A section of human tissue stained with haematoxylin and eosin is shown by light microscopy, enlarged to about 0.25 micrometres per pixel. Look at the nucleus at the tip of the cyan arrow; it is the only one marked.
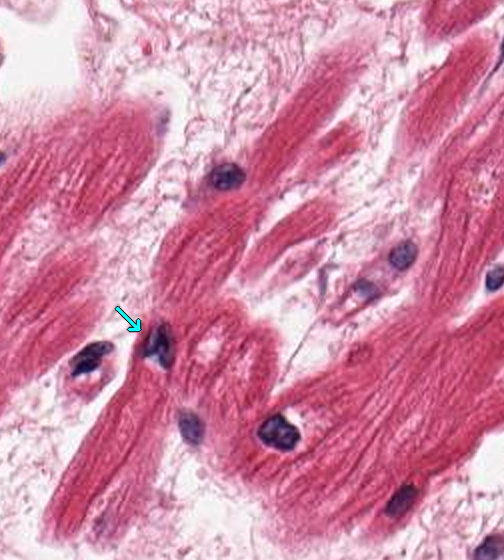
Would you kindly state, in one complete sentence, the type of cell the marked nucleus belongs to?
The cell that the marked nucleus belongs to is a cardiomyocyte.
